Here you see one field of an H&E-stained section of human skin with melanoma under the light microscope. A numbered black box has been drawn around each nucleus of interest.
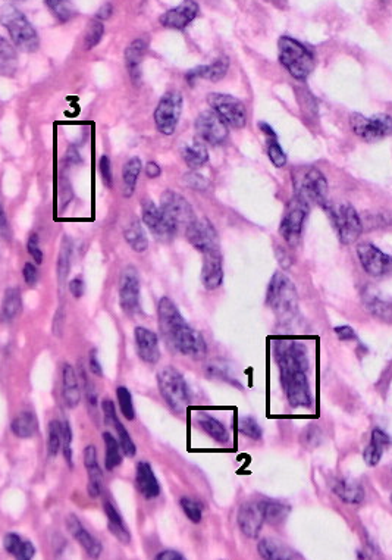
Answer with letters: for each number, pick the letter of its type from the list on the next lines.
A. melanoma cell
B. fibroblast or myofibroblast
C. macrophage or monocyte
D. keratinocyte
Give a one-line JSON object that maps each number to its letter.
{"1": "A", "2": "A", "3": "B"}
